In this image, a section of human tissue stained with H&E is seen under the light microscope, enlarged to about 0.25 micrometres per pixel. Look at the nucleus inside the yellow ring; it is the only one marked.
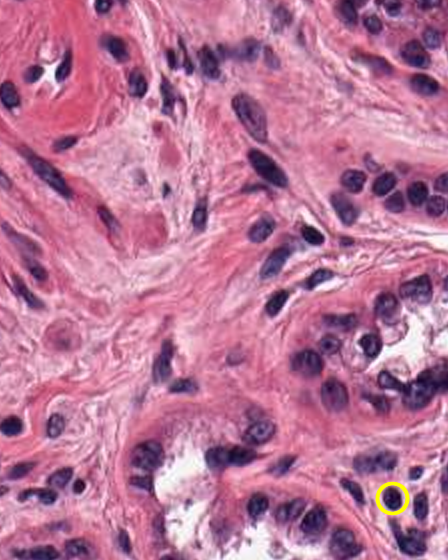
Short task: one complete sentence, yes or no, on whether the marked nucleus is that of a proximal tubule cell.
No, the marked nucleus lies within a supporting cell, not within a proximal tubule cell.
